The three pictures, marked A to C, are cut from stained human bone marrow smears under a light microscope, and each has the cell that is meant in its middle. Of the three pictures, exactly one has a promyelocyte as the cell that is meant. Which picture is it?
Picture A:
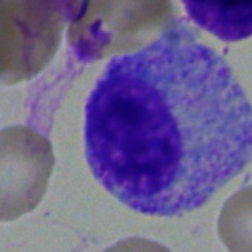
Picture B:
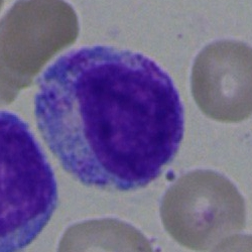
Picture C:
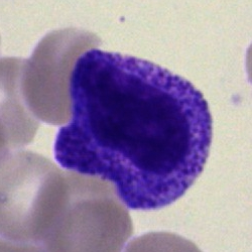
C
